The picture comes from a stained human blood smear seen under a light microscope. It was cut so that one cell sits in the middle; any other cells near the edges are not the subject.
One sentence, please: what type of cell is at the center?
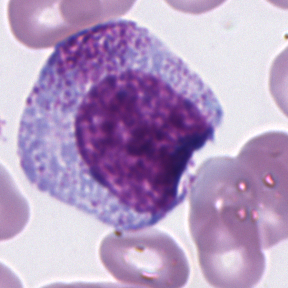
The cell at the central position in this crop is a promyelocyte.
